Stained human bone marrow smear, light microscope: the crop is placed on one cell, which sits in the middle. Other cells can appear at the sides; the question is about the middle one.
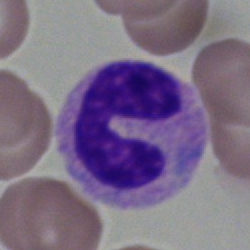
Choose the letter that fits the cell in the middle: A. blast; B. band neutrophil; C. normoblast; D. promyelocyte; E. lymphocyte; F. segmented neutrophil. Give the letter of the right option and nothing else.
B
